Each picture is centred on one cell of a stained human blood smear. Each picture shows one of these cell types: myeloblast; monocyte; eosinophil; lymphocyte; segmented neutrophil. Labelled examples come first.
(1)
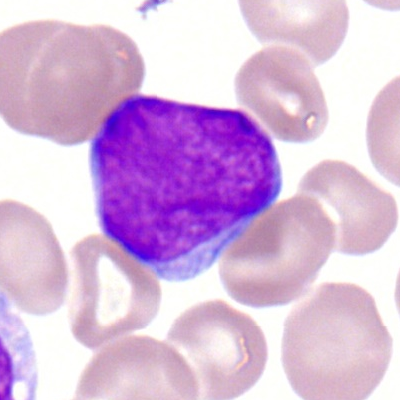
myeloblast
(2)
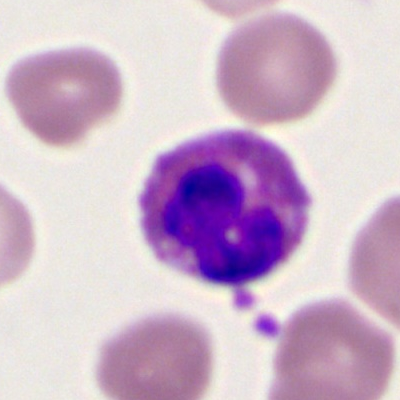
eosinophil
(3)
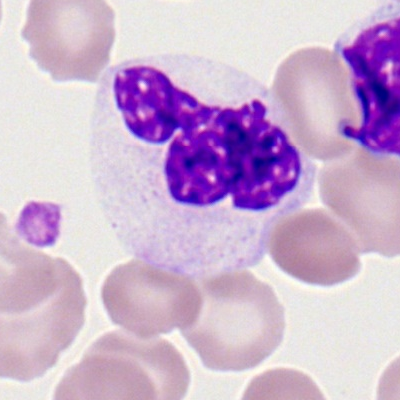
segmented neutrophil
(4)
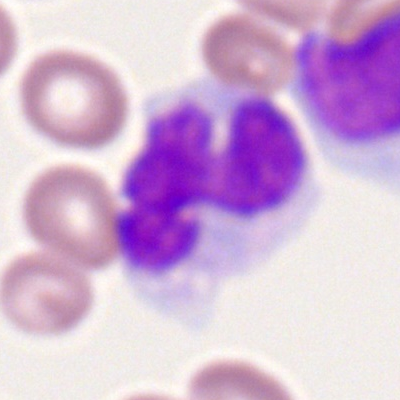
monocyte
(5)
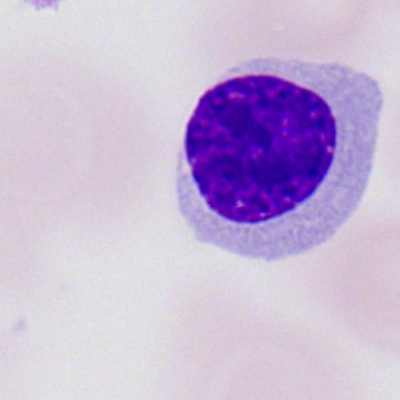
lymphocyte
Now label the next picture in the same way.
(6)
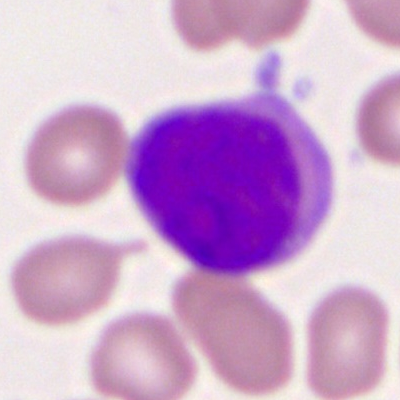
myeloblast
